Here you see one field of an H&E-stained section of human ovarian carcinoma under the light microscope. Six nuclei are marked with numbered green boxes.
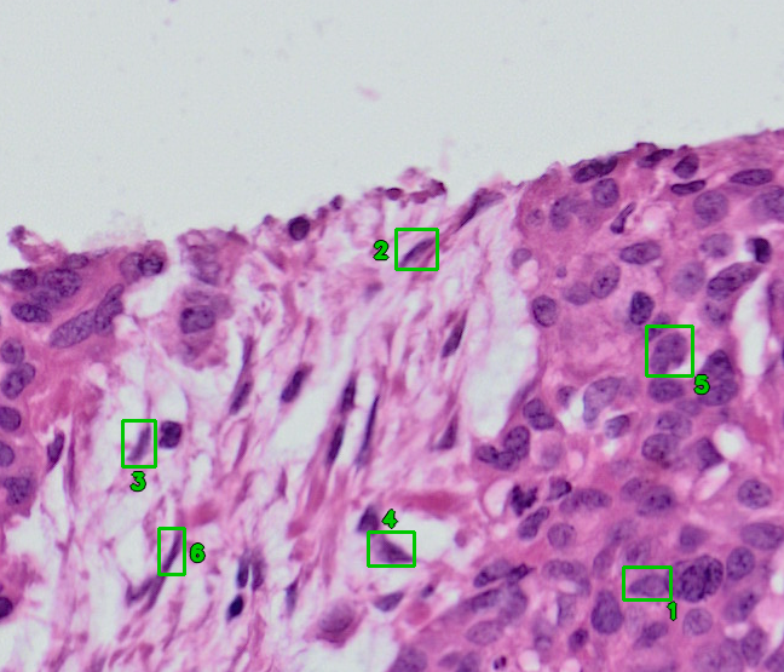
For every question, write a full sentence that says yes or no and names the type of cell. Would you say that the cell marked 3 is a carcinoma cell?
No, the cell referred to as 3 is a fibroblast, not a carcinoma cell.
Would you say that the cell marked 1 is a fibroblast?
No, cell 1 should be read as a carcinoma cell instead of a fibroblast.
